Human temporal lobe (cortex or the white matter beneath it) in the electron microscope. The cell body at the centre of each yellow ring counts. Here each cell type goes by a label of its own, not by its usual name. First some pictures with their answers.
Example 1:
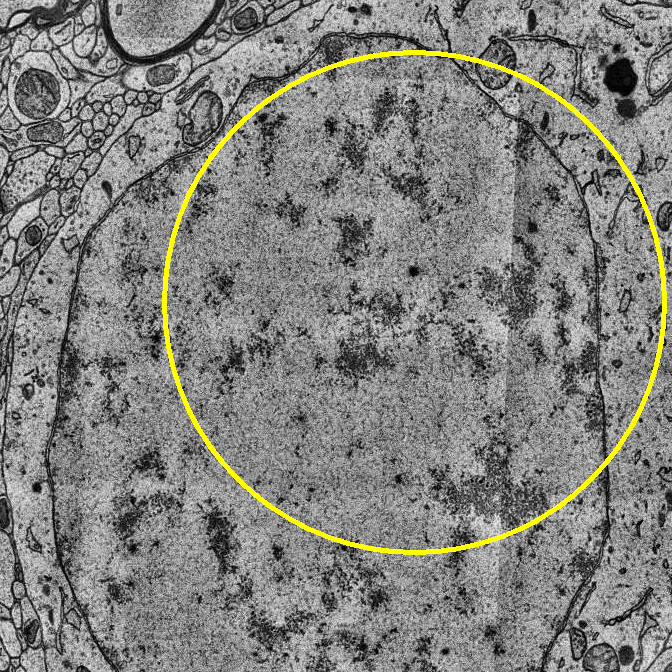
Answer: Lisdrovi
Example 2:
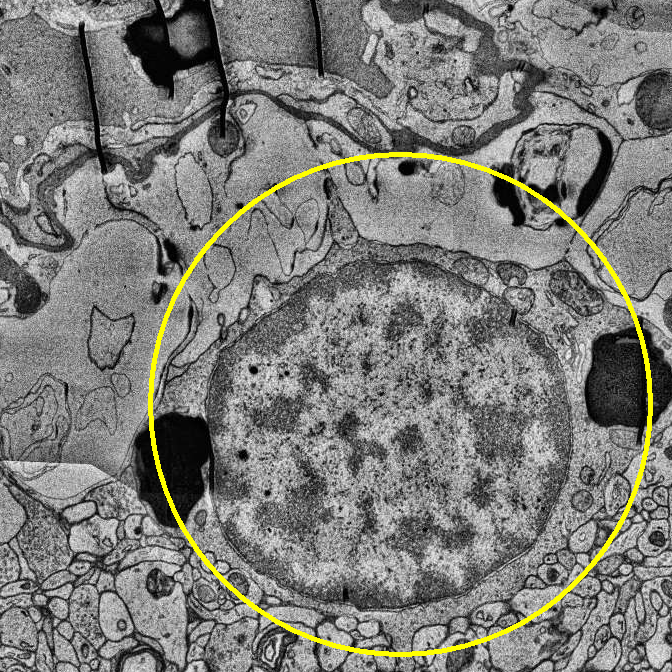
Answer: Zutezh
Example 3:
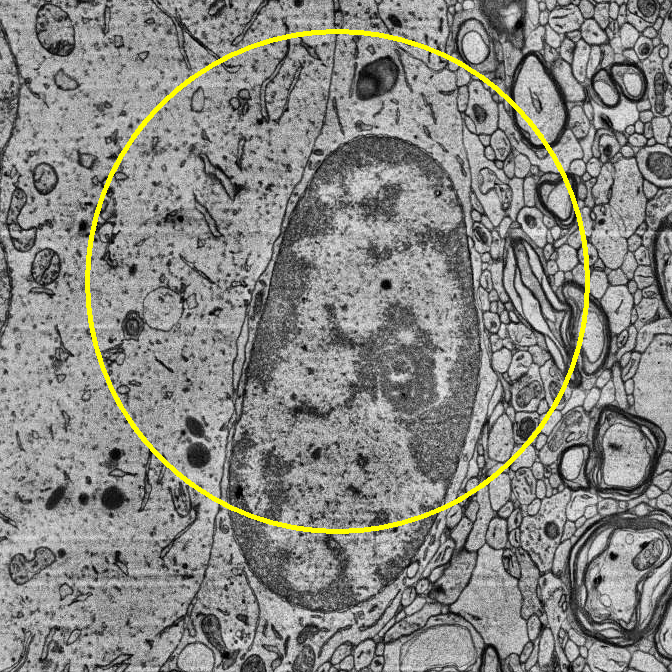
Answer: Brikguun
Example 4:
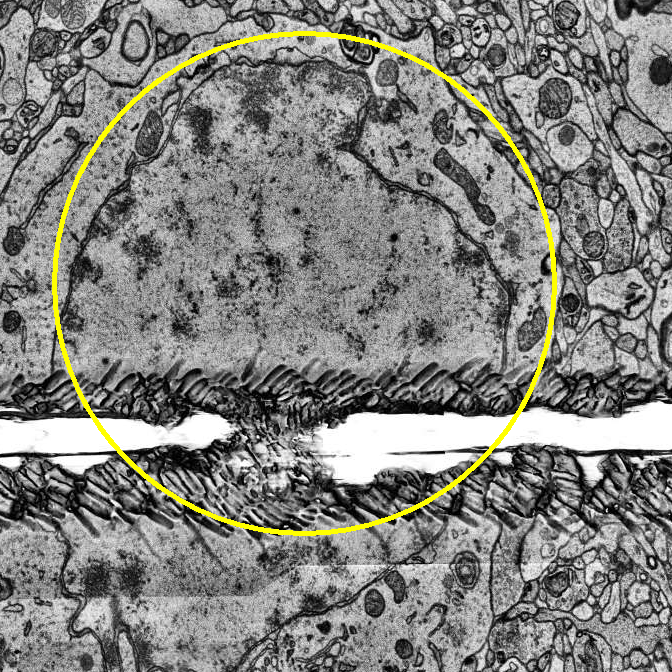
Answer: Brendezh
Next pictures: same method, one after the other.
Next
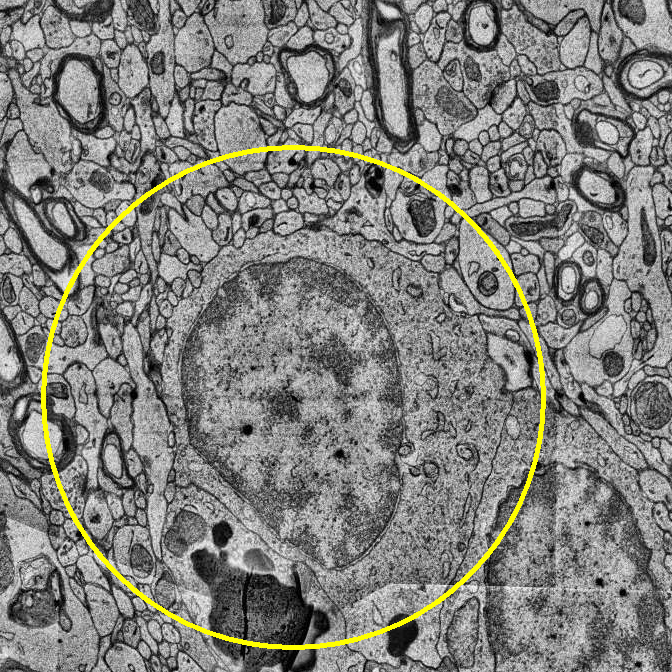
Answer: Zutezh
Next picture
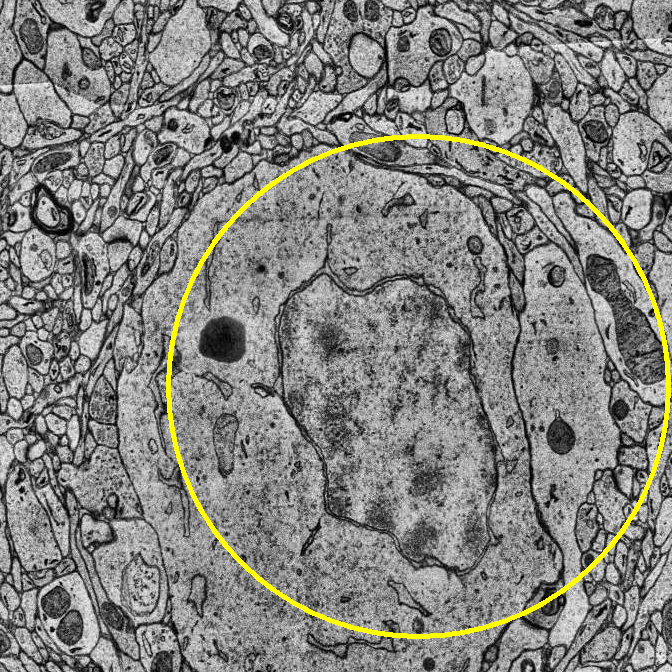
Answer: Brendezh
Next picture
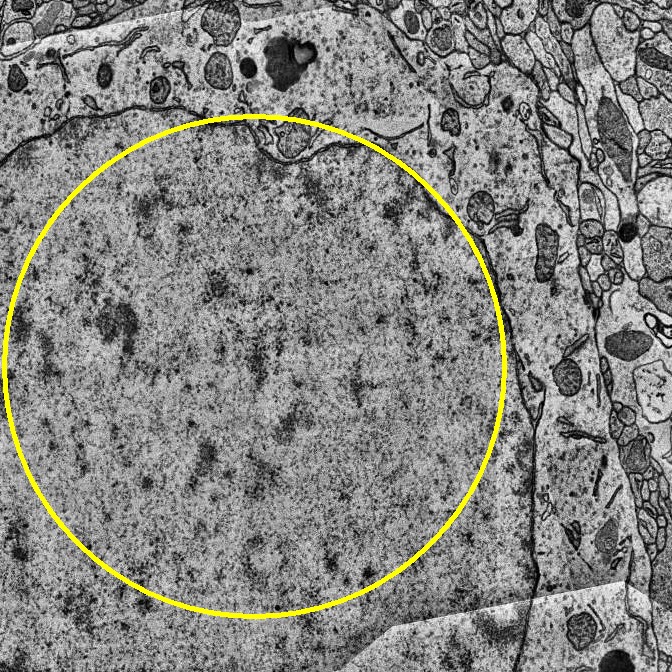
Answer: Lisdrovi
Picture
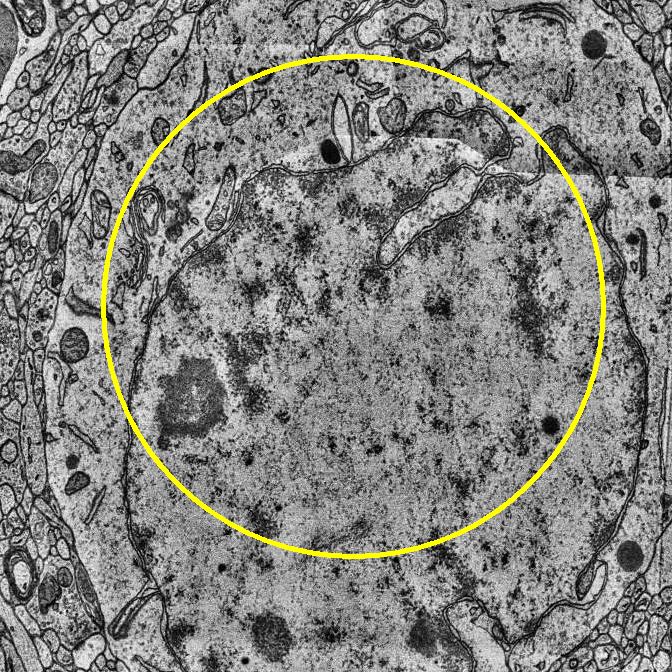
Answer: Brendezh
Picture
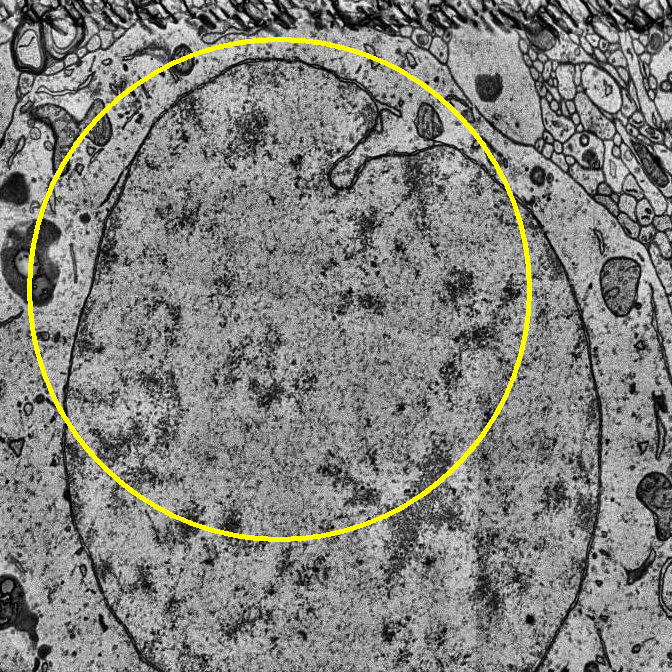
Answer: Lisdrovi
